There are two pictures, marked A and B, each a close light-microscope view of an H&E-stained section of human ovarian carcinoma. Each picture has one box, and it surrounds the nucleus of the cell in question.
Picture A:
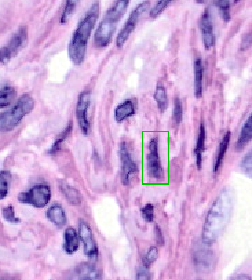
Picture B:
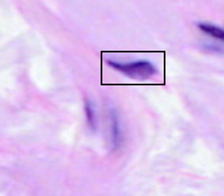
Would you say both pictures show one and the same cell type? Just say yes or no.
yes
